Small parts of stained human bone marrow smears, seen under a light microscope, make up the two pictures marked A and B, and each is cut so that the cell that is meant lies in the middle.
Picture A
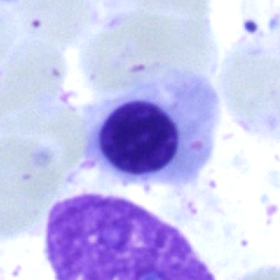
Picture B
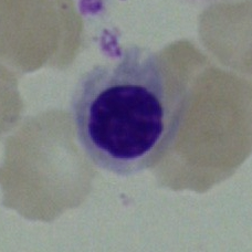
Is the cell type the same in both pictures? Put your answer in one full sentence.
Yes, both cells are erythroblasts.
